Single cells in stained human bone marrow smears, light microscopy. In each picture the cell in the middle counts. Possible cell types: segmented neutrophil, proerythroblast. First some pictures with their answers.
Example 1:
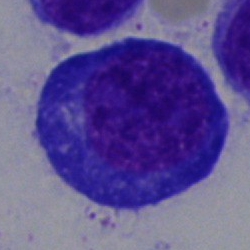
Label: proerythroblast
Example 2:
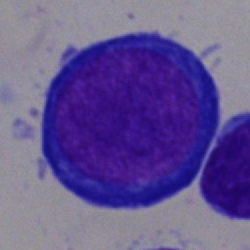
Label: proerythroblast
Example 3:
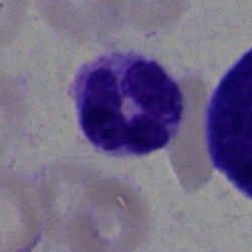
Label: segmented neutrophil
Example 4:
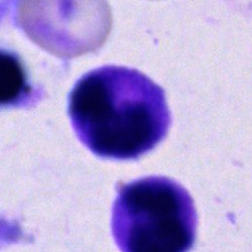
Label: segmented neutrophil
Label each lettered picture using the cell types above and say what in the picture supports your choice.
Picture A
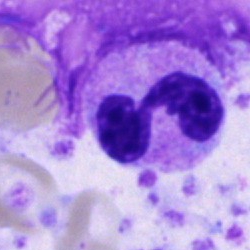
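segmented neutrophil. The nucleus is a curved band bent into an S shape.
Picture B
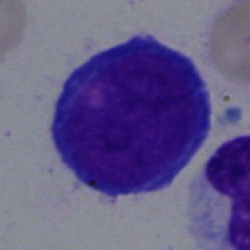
proerythroblast. The nuclear chromatin looks finely textured rather than clumped into coarse dark blocks.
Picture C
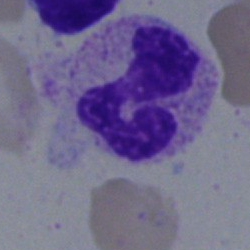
segmented neutrophil. The cytoplasm is dotted with fine pinkish-violet granules.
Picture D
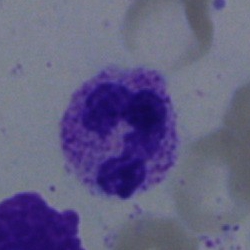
segmented neutrophil. Many small purple granules are scattered throughout the cytoplasm.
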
